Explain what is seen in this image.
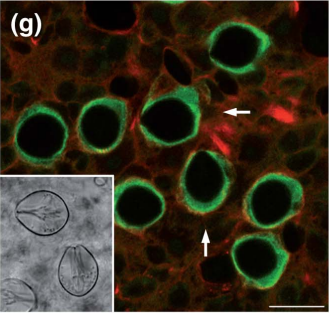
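This shows a cluster of nematocytes, each holding a large oval capsule. The green fills a thin rim of cytoplasm around each capsule, while the capsules themselves stay dark. The brightfield inset shows the pear-shaped capsules with their internal structure.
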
